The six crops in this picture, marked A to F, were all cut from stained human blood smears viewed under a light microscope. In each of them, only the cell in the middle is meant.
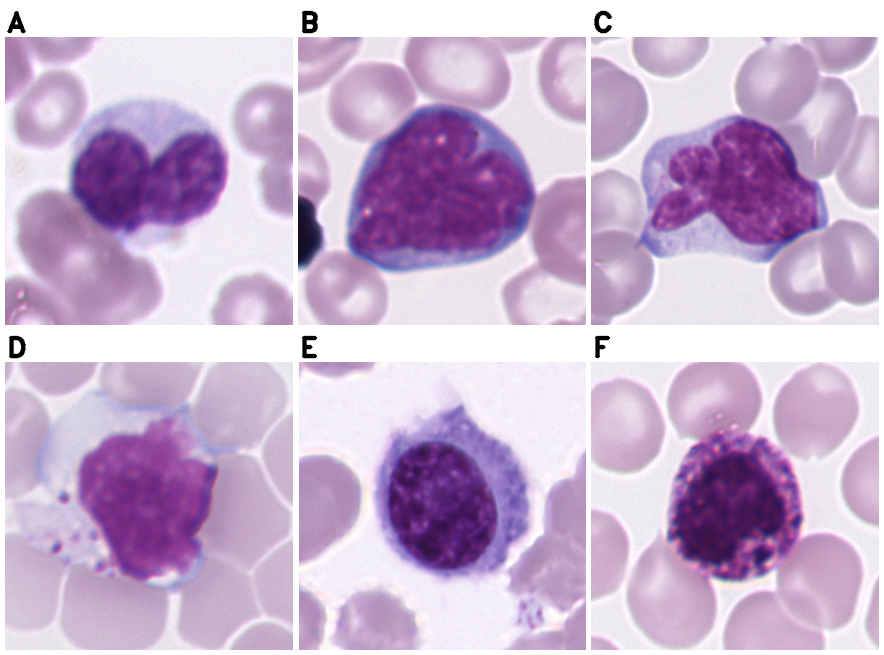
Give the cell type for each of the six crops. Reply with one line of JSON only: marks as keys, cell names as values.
{"A": "monocyte", "B": "myeloblast", "C": "myeloblast", "D": "large granular lymphocyte", "E": "plasma cell", "F": "basophil"}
